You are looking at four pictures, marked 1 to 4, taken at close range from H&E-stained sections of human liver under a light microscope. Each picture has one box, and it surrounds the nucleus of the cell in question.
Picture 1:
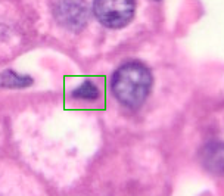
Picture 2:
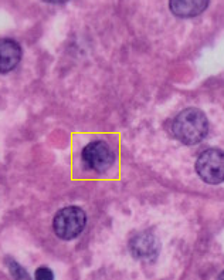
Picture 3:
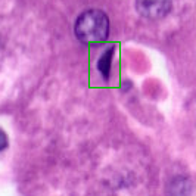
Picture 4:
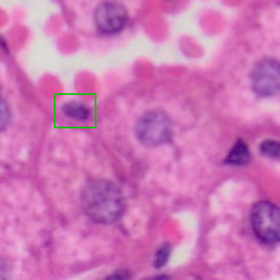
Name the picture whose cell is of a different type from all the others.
2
